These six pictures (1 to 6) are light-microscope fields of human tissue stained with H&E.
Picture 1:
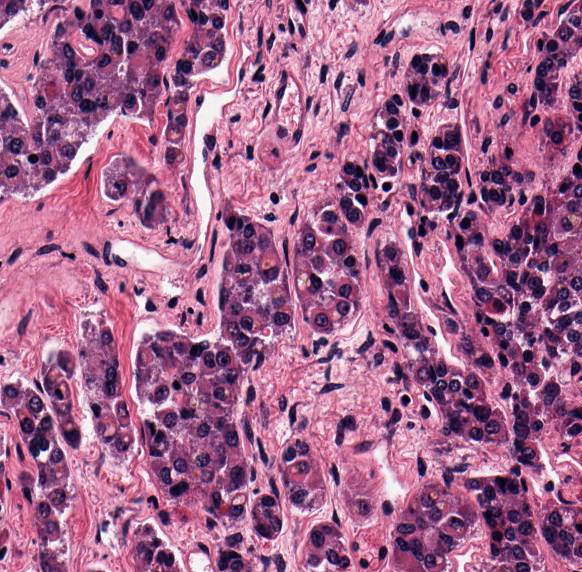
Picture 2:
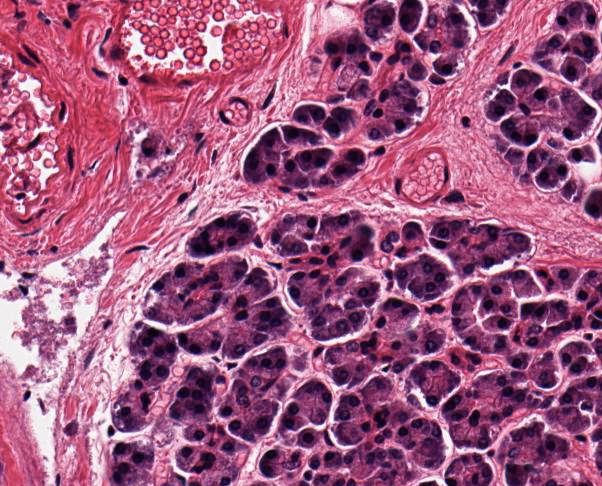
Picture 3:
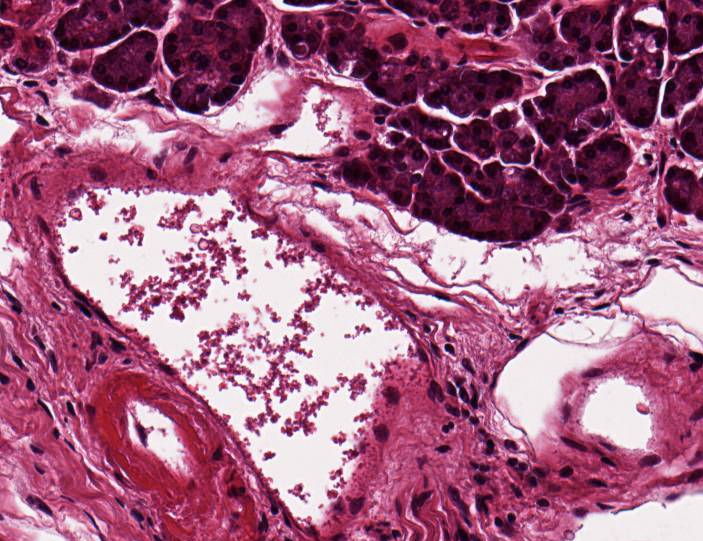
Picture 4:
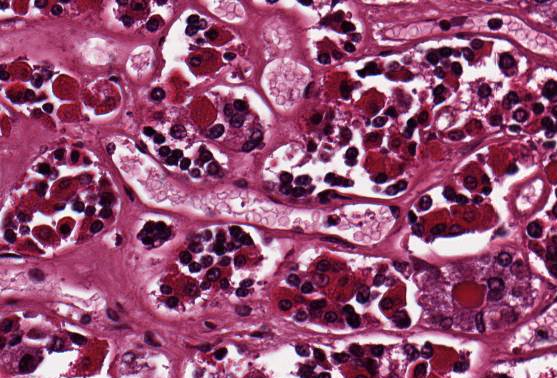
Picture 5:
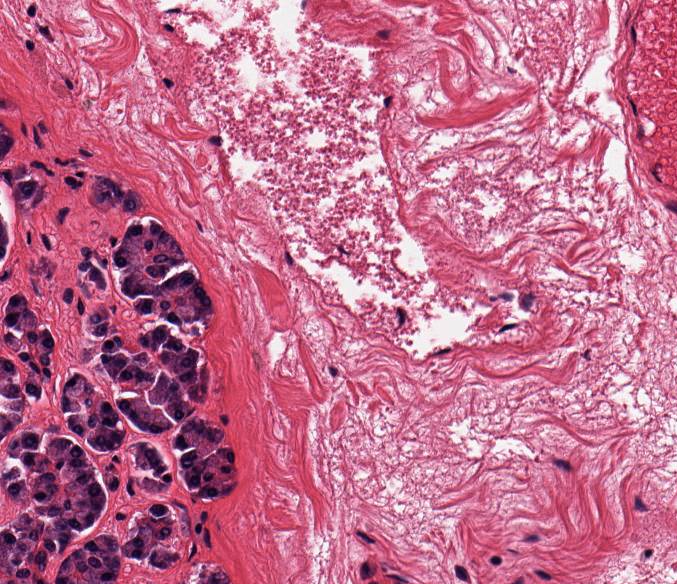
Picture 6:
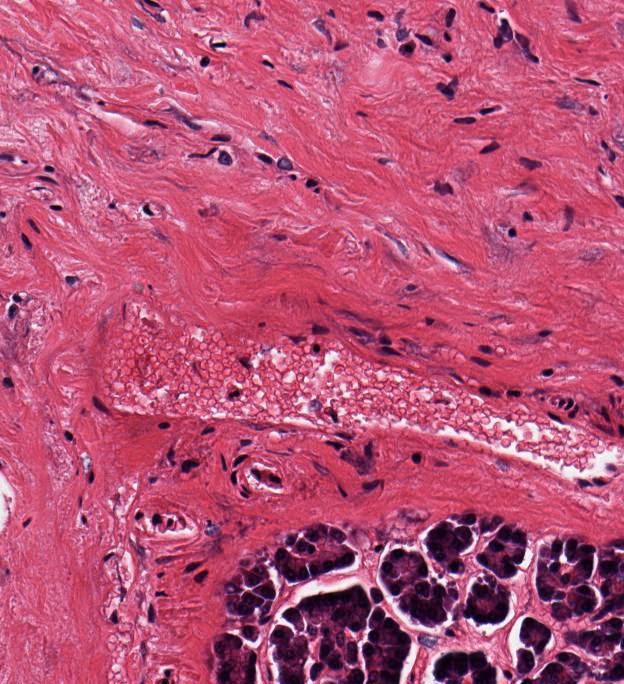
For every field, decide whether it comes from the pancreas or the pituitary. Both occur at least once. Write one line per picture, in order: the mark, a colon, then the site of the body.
1: pituitary
2: pancreas
3: pancreas
4: pituitary
5: pancreas
6: pancreas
